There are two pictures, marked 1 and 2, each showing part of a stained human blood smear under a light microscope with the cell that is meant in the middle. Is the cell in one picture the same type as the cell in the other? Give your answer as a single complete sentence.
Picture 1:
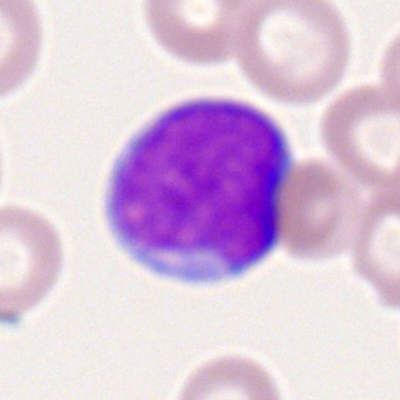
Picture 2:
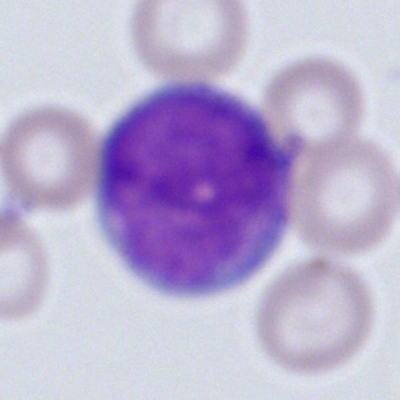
Yes, both are myeloblasts.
